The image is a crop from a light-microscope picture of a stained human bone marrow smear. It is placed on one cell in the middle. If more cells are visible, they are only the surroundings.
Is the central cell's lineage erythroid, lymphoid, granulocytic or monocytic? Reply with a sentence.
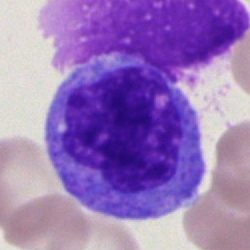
The cell at the crop's center sits within the monocytic lineage.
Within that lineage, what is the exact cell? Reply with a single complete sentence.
Centred in the crop is a monocyte.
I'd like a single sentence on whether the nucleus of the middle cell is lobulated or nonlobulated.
The nucleus holds together as a single compact mass, round, oval or kidney-like.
